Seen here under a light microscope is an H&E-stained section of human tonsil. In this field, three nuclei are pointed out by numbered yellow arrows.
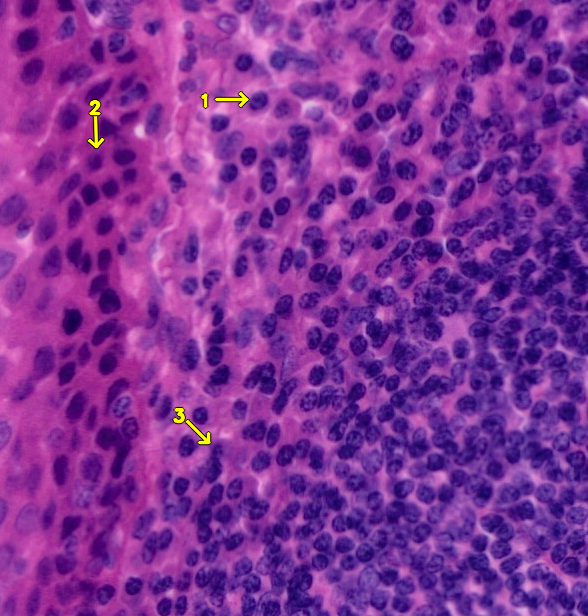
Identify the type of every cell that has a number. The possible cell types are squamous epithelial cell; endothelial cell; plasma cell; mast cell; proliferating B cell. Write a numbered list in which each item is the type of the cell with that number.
1. plasma cell
2. squamous epithelial cell
3. plasma cell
